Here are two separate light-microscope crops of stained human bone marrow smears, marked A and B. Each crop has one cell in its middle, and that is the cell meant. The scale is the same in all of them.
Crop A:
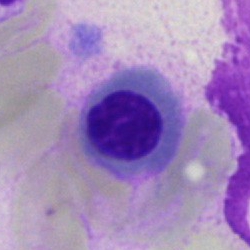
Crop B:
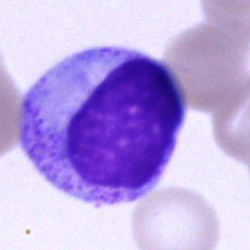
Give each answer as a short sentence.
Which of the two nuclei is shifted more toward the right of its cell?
Seen within its cell, the nucleus in crop B lies further toward the right.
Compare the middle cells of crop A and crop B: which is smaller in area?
Smaller is the cell in crop A, and the other is about 2 times as large in area.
